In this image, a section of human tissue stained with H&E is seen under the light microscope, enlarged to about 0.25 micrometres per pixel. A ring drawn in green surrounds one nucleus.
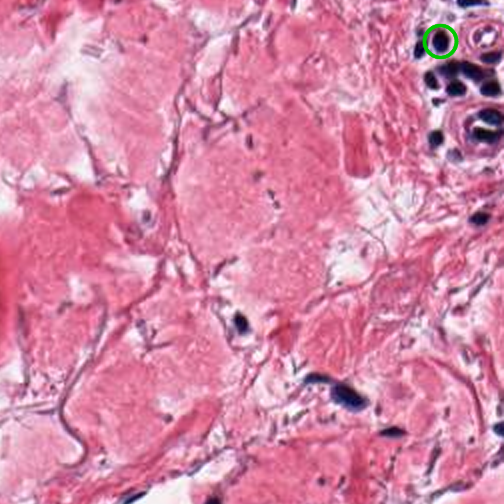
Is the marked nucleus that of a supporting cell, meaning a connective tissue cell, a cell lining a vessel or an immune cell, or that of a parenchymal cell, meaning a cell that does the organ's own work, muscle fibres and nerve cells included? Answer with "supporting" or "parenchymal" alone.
supporting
